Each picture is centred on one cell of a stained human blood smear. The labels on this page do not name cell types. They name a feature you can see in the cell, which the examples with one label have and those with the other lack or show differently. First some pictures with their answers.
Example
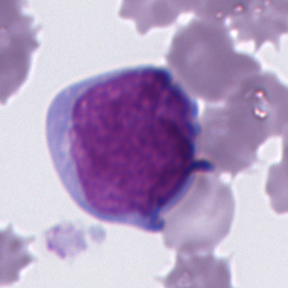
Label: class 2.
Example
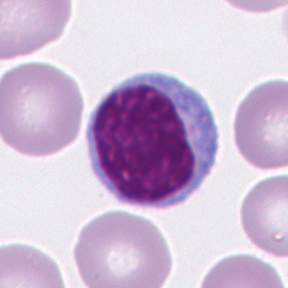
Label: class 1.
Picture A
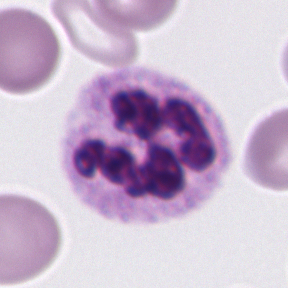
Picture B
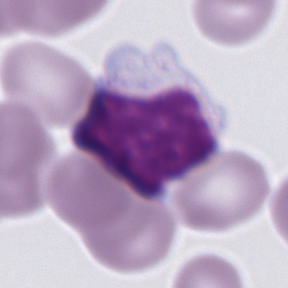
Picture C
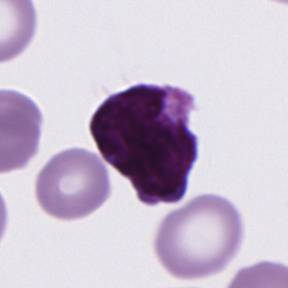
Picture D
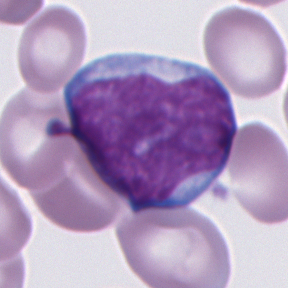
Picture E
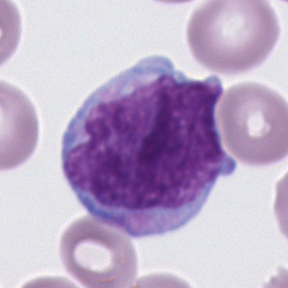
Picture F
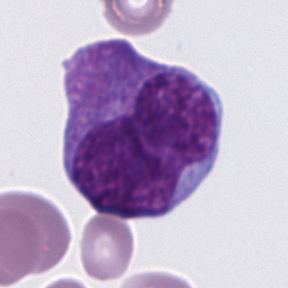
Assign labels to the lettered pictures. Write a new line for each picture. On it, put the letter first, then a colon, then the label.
A: class 1.
B: class 2.
C: class 2.
D: class 2.
E: class 2.
F: class 2.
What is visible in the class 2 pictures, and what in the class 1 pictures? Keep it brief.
class 2, ragged outline or projections; class 1, smooth outline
